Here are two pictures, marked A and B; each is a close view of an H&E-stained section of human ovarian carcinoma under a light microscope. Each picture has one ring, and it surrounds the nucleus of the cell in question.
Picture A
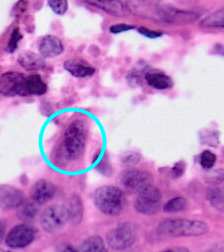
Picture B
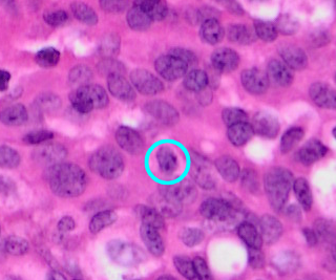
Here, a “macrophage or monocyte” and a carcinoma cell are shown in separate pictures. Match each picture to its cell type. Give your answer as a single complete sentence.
The cell in picture A is a carcinoma cell, and the one in picture B is a “macrophage or monocyte”.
